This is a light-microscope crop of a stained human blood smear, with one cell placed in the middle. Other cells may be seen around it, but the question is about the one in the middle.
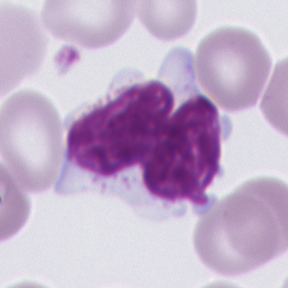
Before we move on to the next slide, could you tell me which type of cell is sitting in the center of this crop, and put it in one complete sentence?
What the crop centres on is a large granular lymphocyte.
